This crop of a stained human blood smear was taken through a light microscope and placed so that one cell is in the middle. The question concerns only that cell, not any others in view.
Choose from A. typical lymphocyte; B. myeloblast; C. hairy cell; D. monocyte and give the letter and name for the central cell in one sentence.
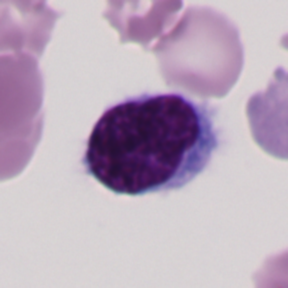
Here the right option is C, as the cell in the middle is a hairy cell.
